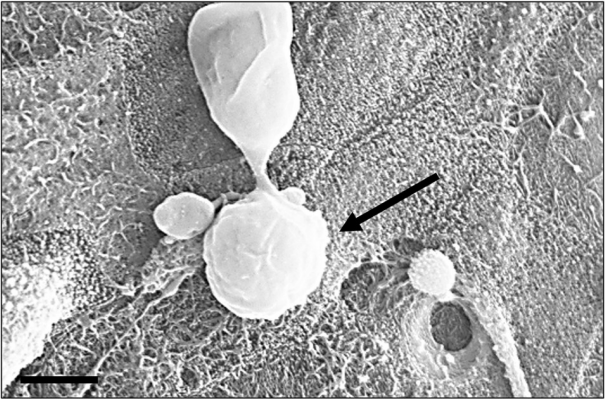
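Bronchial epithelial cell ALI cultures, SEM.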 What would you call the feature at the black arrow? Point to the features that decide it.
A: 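A large smooth rounded body sits on the cell surface. Its surface lacks the projections covering the surrounding cells.
Answer: mucus globules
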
